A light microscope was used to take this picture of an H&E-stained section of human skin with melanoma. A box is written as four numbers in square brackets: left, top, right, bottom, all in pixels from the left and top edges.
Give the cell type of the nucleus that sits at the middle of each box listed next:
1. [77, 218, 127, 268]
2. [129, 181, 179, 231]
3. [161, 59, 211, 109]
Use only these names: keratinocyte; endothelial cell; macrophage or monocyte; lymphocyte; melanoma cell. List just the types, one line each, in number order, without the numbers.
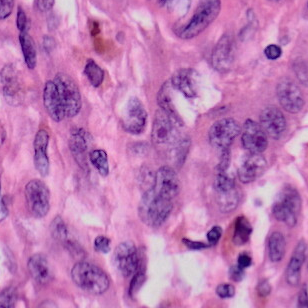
lymphocyte
melanoma cell
melanoma cell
